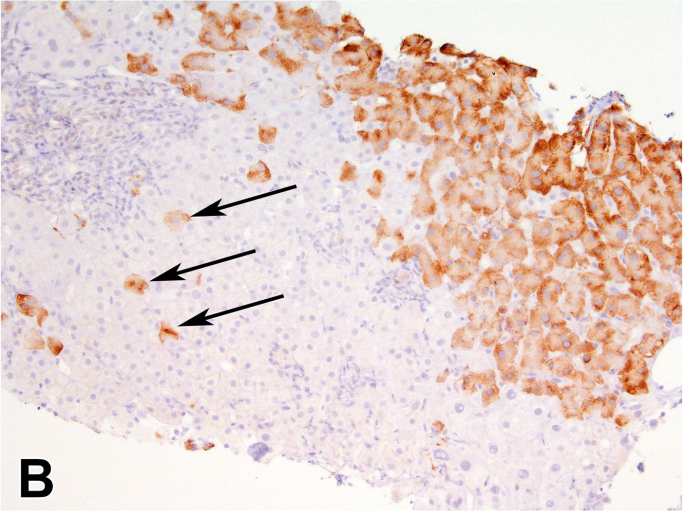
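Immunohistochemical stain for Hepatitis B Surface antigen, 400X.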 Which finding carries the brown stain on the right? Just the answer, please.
Contiguous granular cytoplasmic staining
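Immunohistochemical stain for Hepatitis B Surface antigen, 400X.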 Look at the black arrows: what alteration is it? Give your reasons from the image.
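The arrows point to isolated single brown-stained cells. Surrounding cells are unstained. On this evidence: scattered granular.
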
